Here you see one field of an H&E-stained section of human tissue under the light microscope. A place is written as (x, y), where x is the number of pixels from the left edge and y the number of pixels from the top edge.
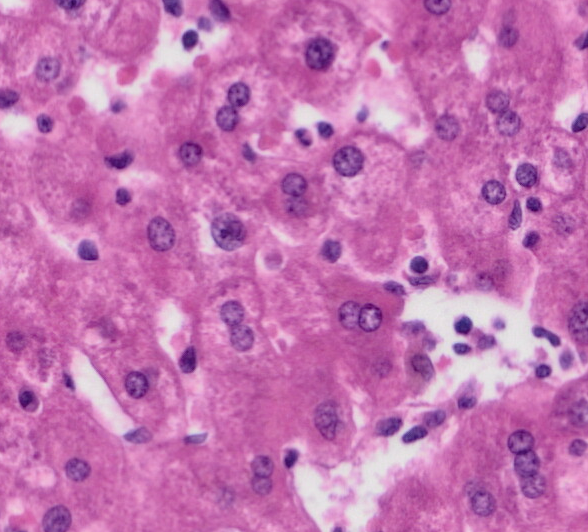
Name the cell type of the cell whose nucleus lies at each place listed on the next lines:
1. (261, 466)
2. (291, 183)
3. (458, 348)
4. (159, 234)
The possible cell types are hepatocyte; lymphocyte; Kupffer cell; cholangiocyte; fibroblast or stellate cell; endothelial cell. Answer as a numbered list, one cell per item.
1. hepatocyte
2. hepatocyte
3. lymphocyte
4. hepatocyte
